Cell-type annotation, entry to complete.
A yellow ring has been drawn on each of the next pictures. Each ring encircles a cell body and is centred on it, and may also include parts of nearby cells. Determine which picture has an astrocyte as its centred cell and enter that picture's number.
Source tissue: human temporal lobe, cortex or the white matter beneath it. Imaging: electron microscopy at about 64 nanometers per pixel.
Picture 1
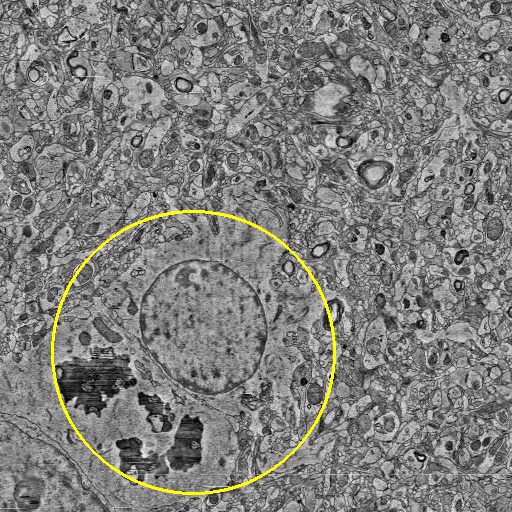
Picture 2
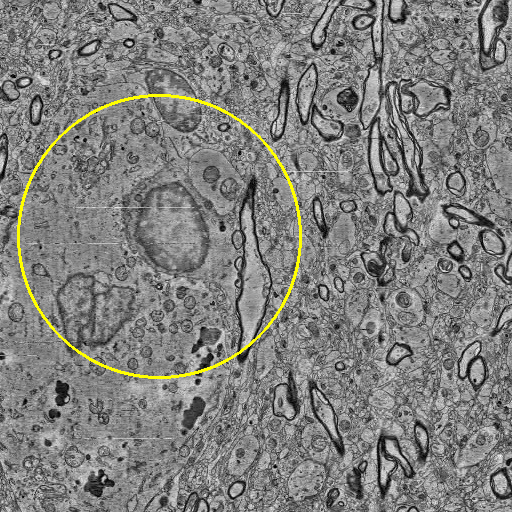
1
